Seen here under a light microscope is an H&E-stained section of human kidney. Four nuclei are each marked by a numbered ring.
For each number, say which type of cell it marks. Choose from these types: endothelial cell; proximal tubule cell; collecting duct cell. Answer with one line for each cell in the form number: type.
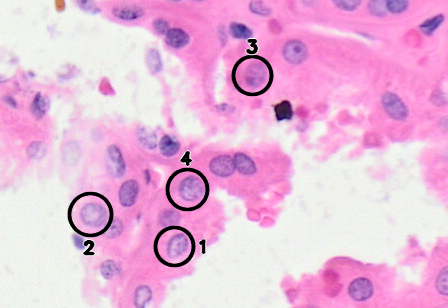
1: proximal tubule cell
2: collecting duct cell
3: proximal tubule cell
4: proximal tubule cell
